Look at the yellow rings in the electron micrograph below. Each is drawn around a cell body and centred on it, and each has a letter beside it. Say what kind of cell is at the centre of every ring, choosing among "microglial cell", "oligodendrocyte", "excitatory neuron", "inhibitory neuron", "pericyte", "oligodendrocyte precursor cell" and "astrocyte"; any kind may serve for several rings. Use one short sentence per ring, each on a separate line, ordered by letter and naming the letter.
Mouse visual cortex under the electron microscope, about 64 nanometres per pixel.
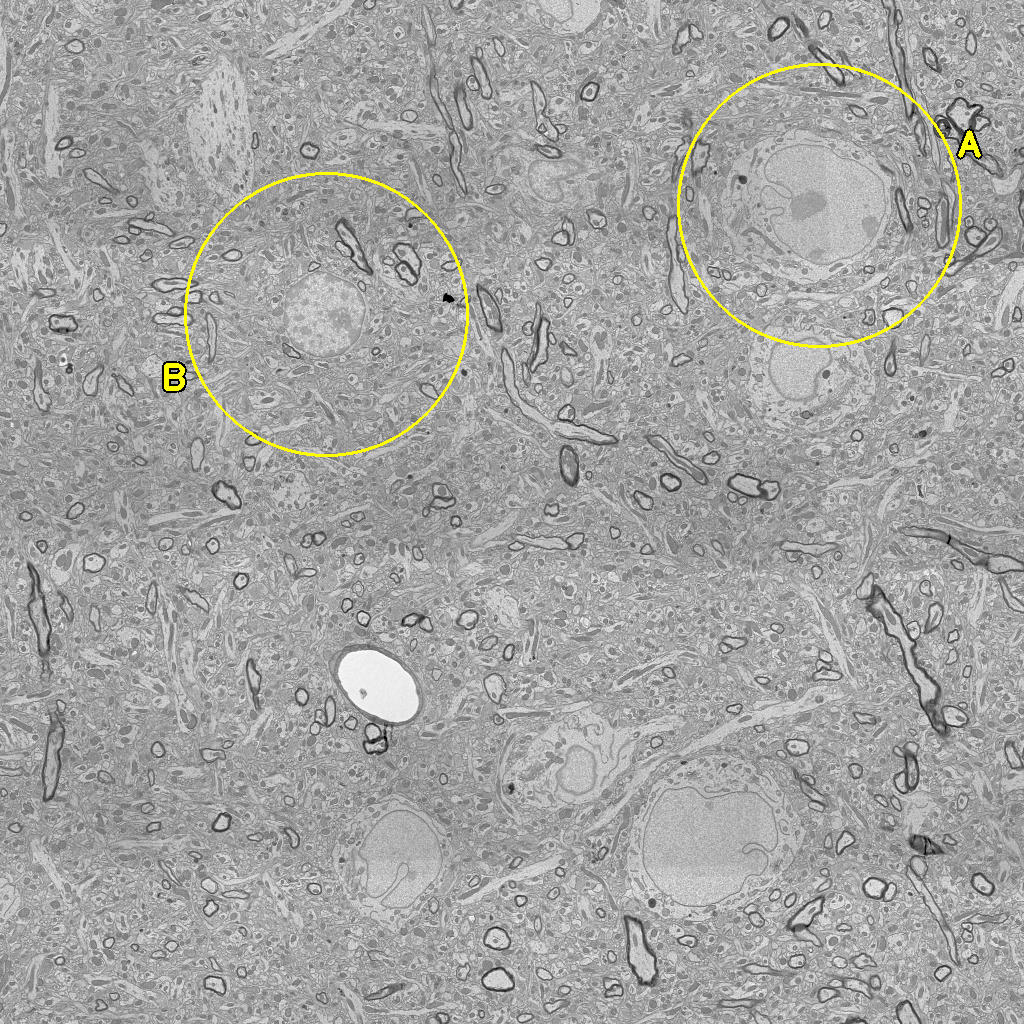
Ring A encircles an excitatory neuron.
Ring B encircles an oligodendrocyte.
